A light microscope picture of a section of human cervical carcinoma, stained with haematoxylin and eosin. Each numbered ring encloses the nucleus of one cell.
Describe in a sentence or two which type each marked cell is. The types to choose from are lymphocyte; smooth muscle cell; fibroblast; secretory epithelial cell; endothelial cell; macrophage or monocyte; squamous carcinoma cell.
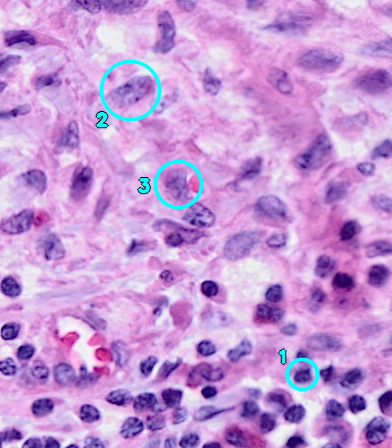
Cell 1 is a lymphocyte, cell 2 is a fibroblast and cell 3 is an endothelial cell.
